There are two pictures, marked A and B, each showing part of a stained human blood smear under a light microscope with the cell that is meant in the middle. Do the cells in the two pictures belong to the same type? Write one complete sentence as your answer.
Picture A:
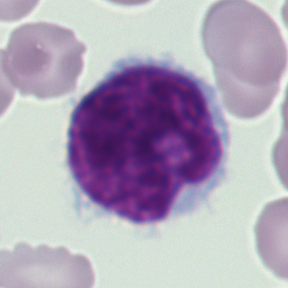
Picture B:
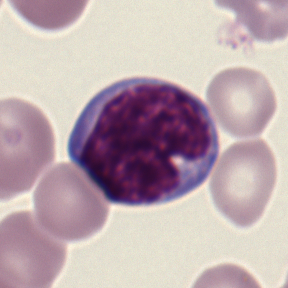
No, the types are not the same, since picture A shows a hairy cell and picture B a large granular lymphocyte.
